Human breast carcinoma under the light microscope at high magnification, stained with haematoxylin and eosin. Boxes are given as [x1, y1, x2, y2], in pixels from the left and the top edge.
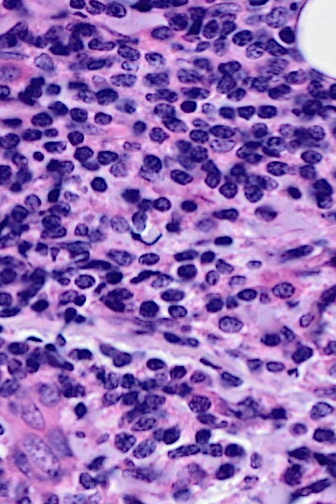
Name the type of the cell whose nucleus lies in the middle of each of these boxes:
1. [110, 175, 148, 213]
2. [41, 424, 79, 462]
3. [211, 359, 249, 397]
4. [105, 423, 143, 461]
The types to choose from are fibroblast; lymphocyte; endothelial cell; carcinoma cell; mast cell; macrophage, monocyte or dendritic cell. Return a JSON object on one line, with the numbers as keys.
{"1": "lymphocyte", "2": "endothelial cell", "3": "lymphocyte", "4": "lymphocyte"}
